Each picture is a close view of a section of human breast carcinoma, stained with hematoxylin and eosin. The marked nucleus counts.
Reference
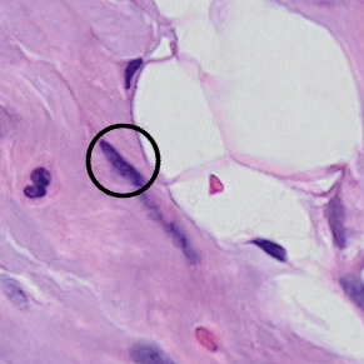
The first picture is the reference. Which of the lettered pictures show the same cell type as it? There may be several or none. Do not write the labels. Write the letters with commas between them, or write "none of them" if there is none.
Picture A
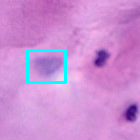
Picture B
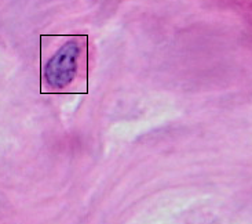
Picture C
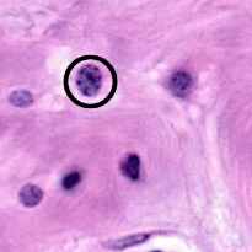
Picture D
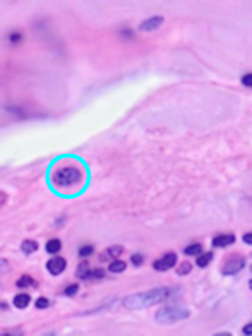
A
